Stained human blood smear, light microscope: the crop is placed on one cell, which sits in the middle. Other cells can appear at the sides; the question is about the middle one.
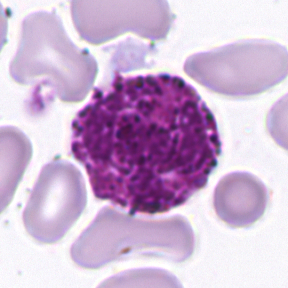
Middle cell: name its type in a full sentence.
The middle of this crop is occupied by a basophil.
